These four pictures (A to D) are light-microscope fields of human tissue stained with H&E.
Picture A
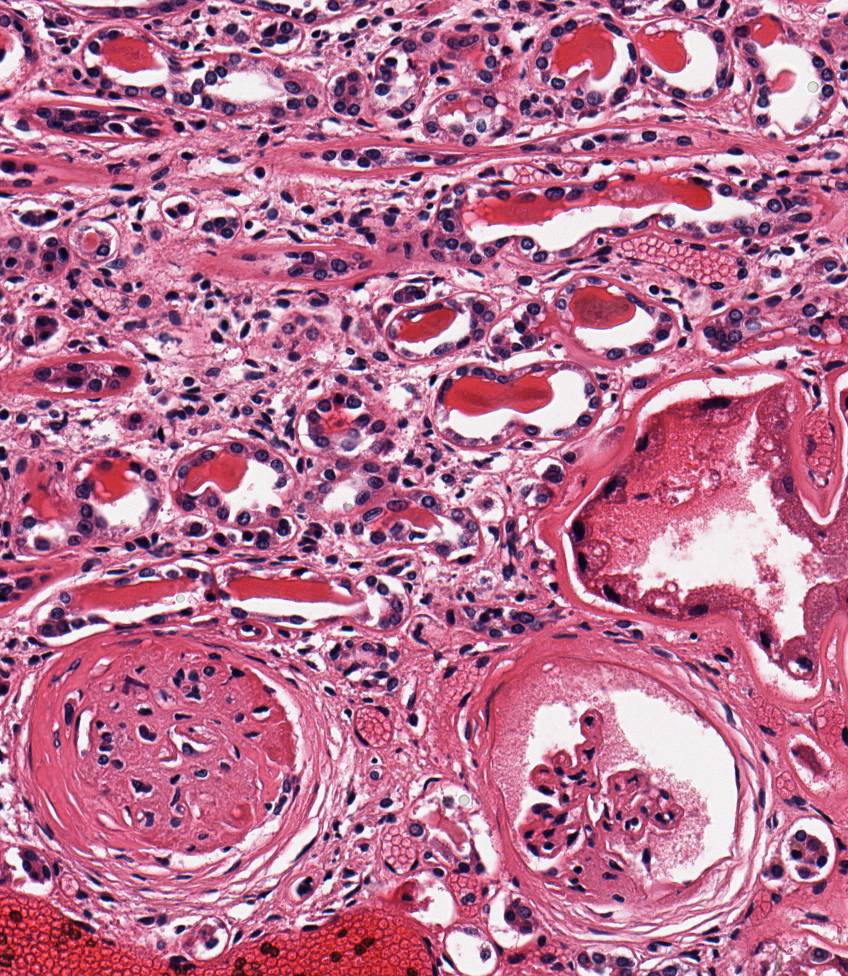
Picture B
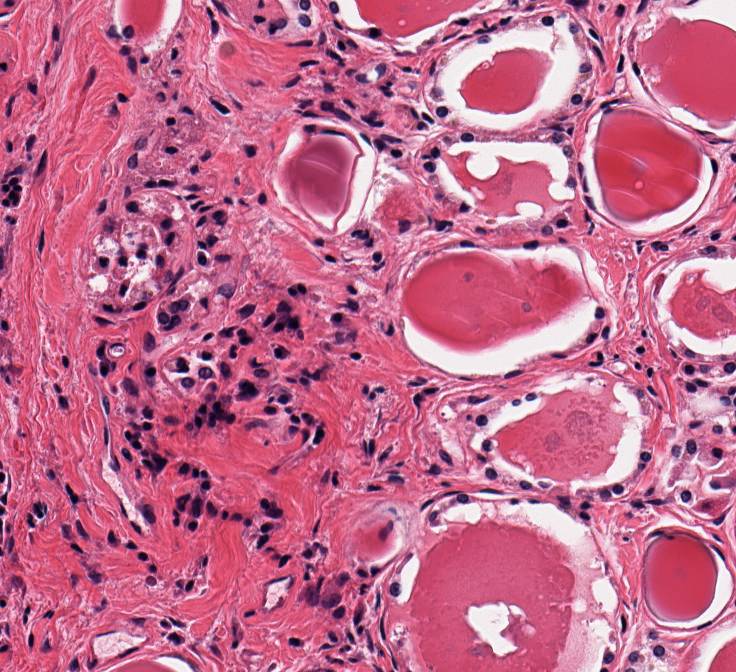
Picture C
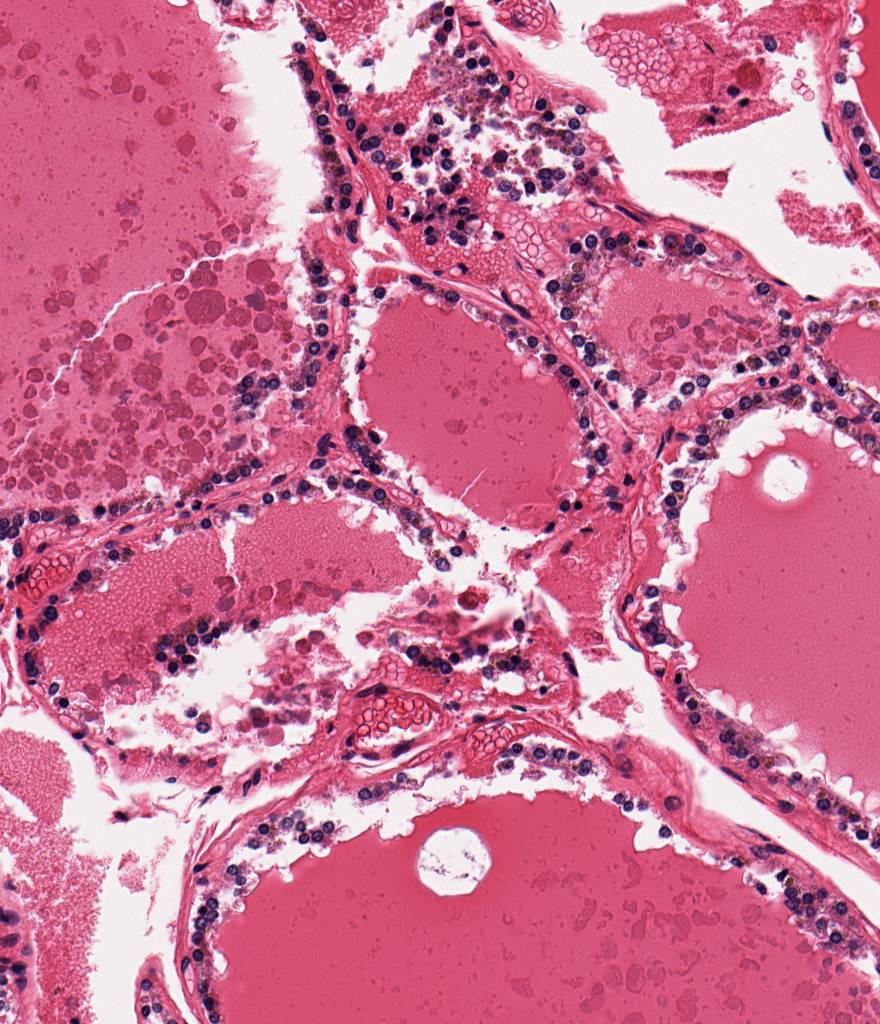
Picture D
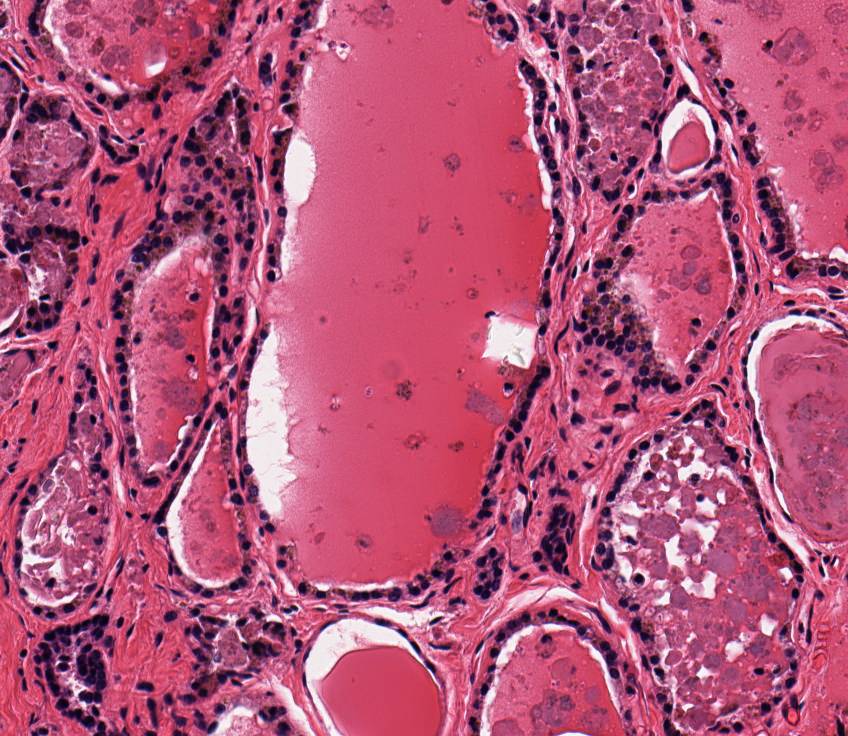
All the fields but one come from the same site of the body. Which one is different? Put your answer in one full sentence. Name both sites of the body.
Unlike the rest, which come from the thyroid, picture A comes from the renal cortex.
